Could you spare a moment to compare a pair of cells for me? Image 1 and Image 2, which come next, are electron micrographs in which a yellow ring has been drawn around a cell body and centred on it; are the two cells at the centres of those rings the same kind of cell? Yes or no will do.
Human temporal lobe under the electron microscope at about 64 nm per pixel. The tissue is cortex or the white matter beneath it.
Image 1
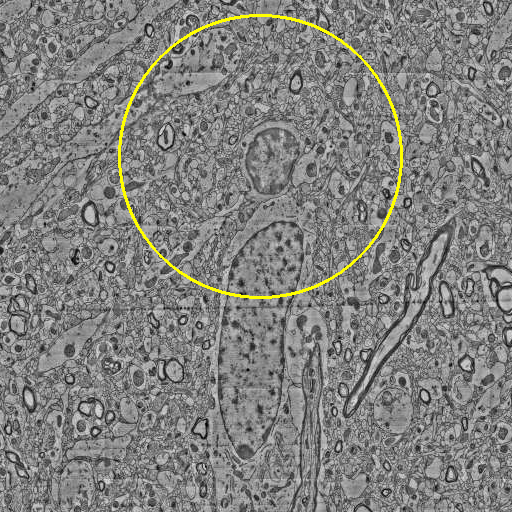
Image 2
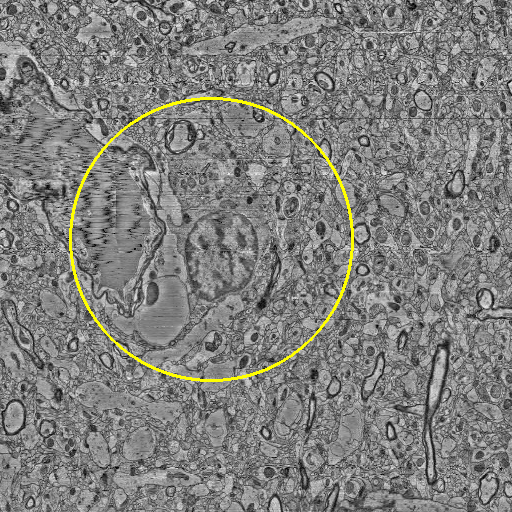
yes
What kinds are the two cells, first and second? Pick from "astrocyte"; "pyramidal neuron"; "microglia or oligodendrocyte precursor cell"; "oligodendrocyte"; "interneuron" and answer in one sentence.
Both rings mark an oligodendrocyte, one in each picture.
